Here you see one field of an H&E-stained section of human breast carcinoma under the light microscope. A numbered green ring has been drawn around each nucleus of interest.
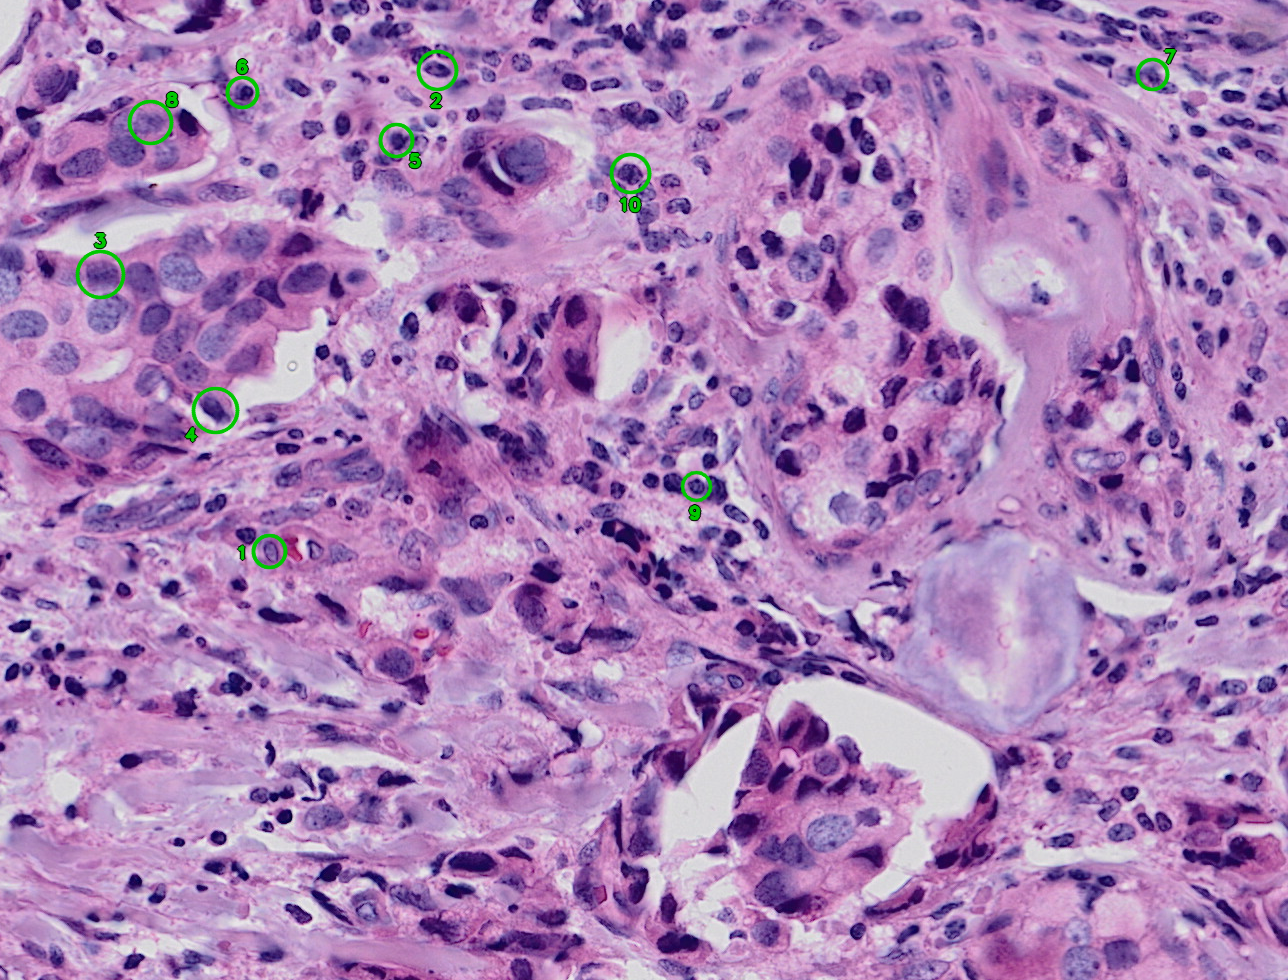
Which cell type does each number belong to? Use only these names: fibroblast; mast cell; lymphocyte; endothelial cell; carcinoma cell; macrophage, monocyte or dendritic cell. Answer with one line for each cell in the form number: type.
1: endothelial cell
2: lymphocyte
3: carcinoma cell
4: carcinoma cell
5: lymphocyte
6: lymphocyte
7: lymphocyte
8: carcinoma cell
9: lymphocyte
10: lymphocyte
